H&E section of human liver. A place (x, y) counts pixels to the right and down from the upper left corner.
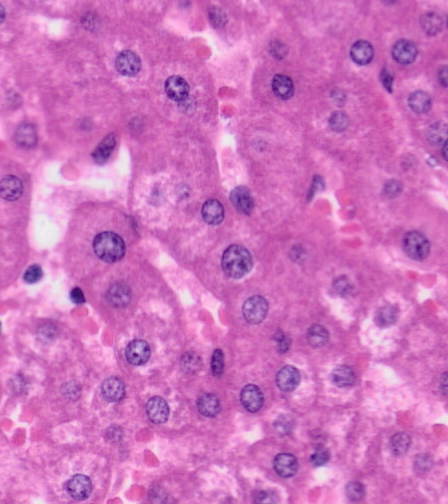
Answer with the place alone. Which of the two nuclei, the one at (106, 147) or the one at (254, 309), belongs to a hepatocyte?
(254, 309)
